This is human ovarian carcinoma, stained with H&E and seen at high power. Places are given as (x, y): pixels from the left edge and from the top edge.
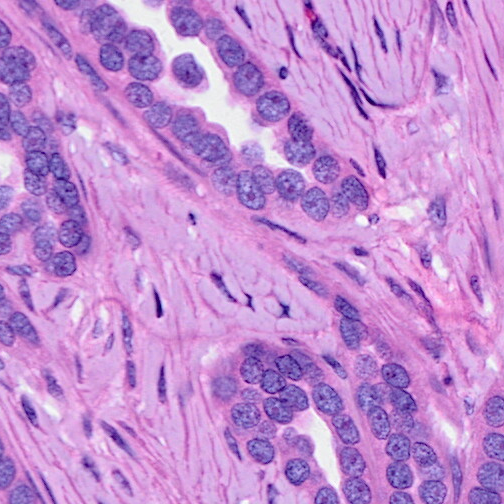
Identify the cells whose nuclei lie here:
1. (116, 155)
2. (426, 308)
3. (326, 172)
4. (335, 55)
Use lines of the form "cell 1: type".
cell 1: fibroblast
cell 2: fibroblast
cell 3: carcinoma cell
cell 4: fibroblast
